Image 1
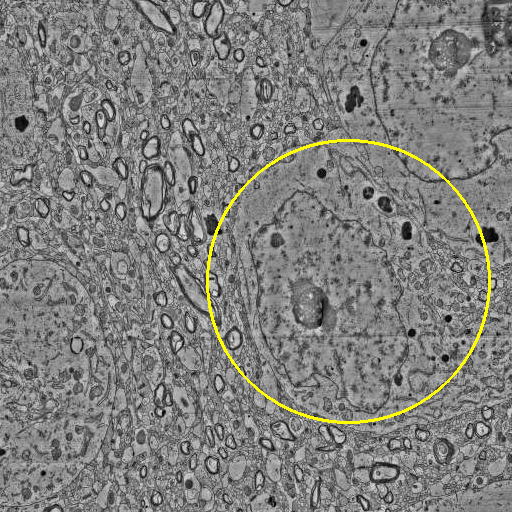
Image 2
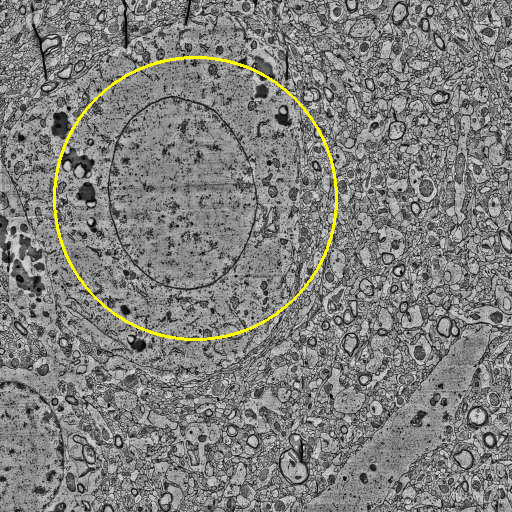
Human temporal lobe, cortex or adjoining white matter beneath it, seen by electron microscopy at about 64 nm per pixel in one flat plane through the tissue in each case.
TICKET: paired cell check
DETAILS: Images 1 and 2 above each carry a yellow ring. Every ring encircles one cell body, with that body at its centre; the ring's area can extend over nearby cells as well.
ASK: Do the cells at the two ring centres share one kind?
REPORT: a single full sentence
Yes, the ring-centre cells of Images 1 and 2 belong to a single kind.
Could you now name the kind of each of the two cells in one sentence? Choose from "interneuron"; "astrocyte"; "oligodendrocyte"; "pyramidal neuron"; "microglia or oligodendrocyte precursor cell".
Each cell, in the first picture and the second, is a pyramidal neuron.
